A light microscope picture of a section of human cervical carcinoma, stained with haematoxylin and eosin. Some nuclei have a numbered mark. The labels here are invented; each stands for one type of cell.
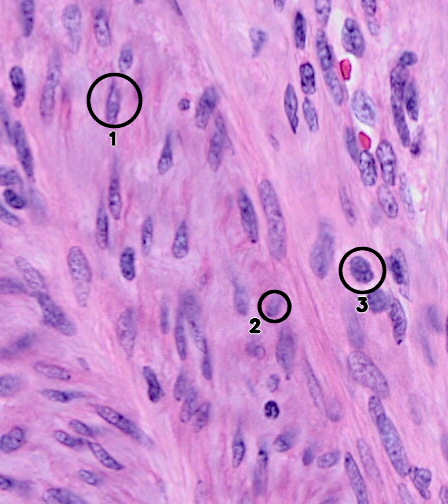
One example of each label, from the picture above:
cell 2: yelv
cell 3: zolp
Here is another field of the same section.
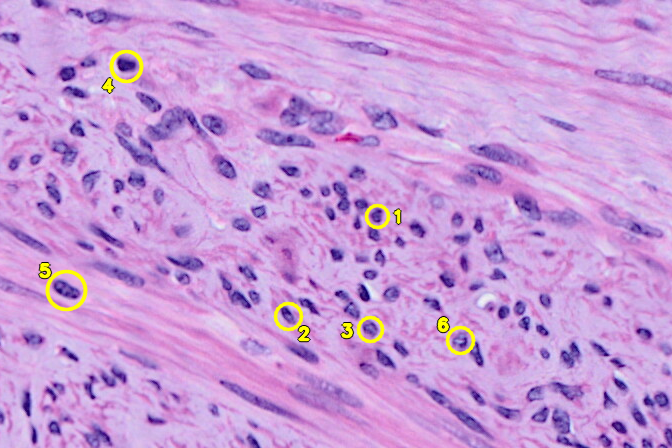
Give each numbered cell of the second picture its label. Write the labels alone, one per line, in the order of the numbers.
yelv
yelv
yelv
zolp
zolp
yelv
